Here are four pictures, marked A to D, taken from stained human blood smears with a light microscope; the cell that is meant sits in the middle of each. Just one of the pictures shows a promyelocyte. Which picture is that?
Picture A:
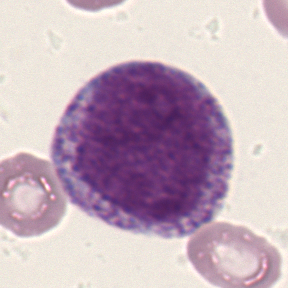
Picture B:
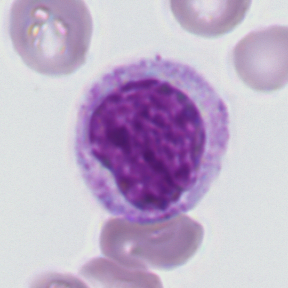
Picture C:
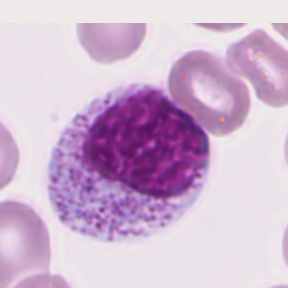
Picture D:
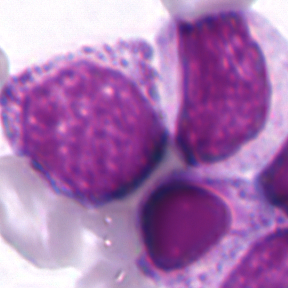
A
